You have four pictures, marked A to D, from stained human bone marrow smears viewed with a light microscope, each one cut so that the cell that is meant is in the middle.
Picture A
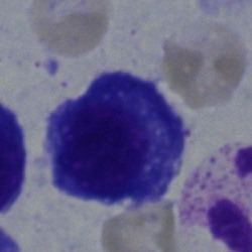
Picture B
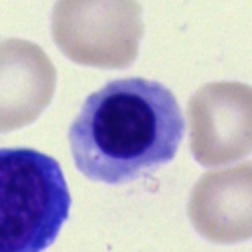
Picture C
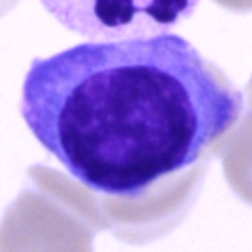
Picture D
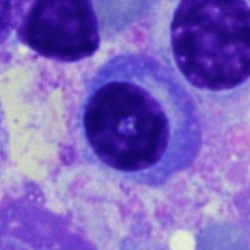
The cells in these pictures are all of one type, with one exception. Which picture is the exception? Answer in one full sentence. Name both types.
Picture B differs, because its cell is an erythroblast and the rest are plasma cells.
